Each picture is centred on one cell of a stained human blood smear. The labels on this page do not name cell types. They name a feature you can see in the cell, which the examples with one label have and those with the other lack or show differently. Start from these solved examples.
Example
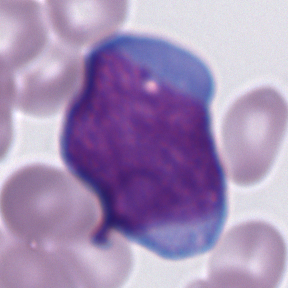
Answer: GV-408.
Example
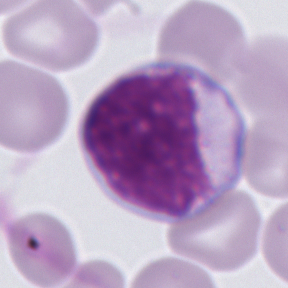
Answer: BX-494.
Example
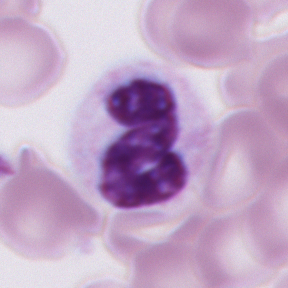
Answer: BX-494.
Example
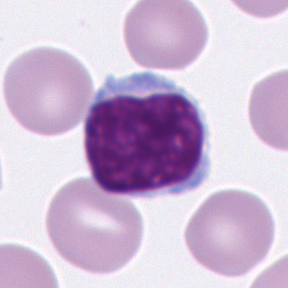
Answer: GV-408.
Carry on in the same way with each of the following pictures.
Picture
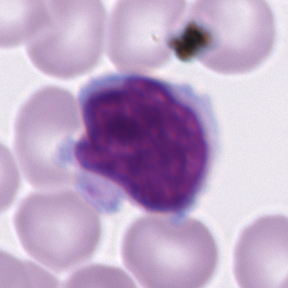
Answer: GV-408.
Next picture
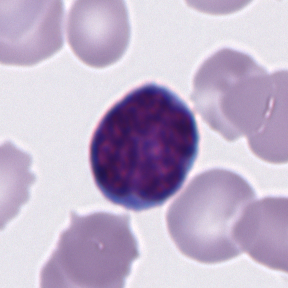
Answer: BX-494.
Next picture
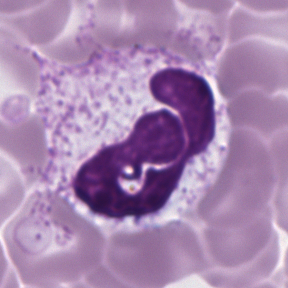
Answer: GV-408.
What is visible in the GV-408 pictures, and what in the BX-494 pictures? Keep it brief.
Seen in GV-408: ragged outline or projections; seen in BX-494: smooth outline.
